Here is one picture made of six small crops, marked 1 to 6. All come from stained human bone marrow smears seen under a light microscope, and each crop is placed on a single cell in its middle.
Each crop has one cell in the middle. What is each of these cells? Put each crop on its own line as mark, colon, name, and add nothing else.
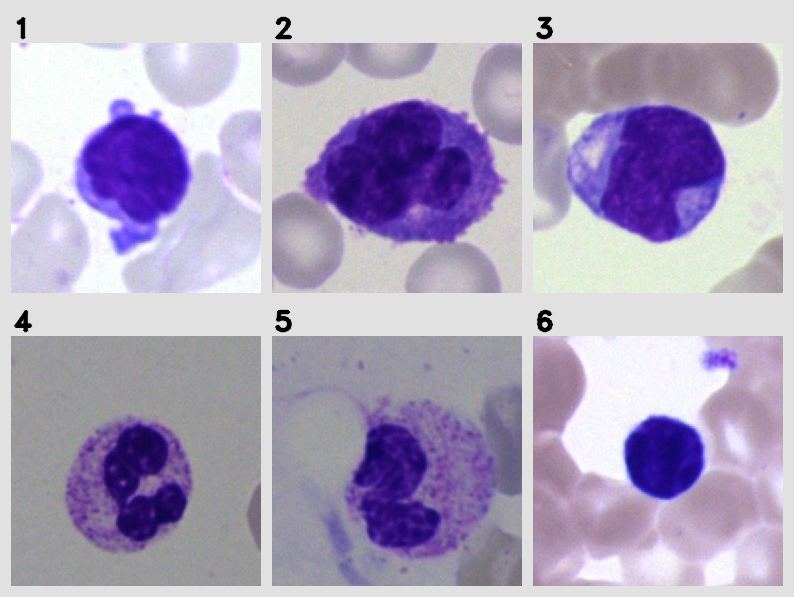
1: lymphocyte
2: monocyte
3: monocyte
4: neutrophil
5: neutrophil
6: lymphocyte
